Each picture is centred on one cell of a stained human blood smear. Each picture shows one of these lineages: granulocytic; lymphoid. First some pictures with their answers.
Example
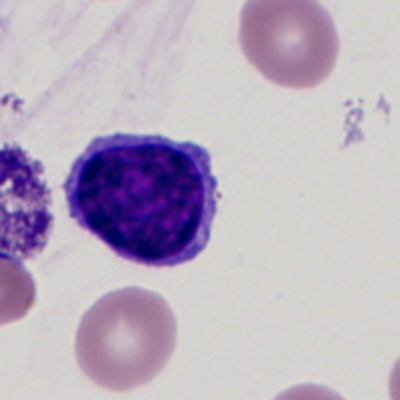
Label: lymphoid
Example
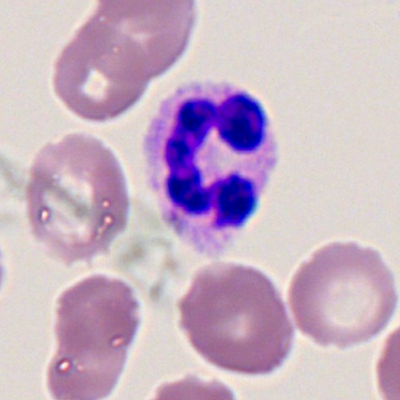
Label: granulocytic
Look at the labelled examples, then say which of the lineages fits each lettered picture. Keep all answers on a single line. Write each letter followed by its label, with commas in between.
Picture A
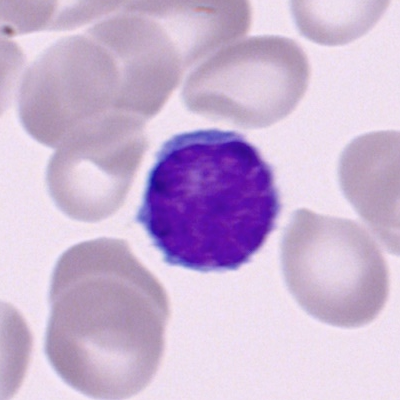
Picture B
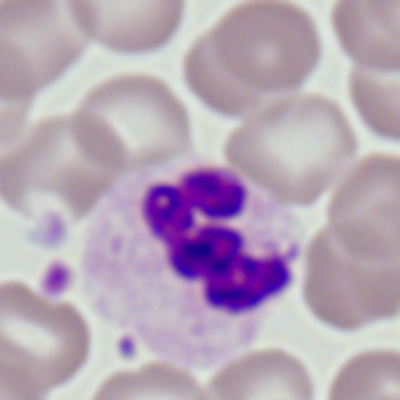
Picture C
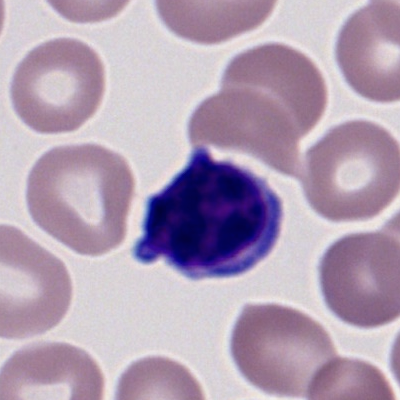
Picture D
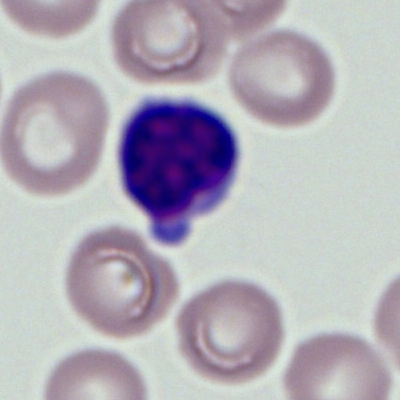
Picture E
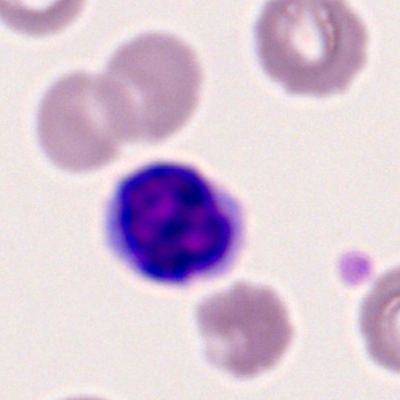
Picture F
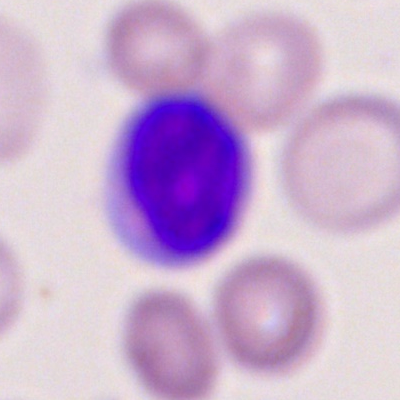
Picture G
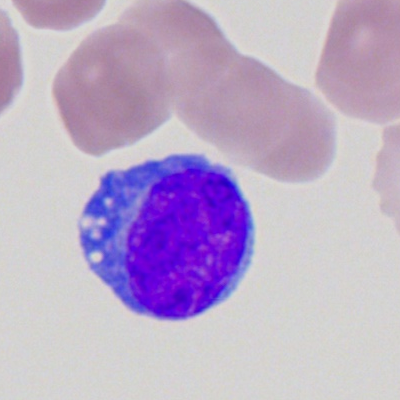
A lymphoid, B granulocytic, C lymphoid, D lymphoid, E lymphoid, F lymphoid, G lymphoid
